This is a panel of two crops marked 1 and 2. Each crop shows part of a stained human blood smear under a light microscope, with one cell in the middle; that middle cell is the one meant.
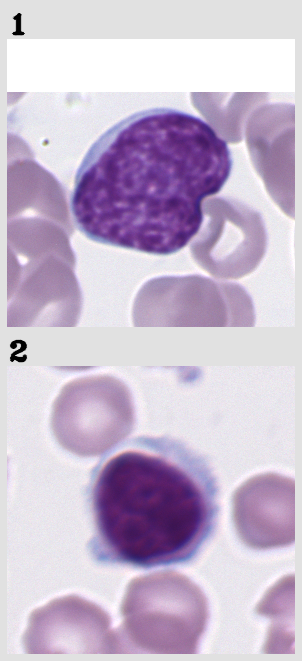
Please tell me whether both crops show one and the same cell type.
no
